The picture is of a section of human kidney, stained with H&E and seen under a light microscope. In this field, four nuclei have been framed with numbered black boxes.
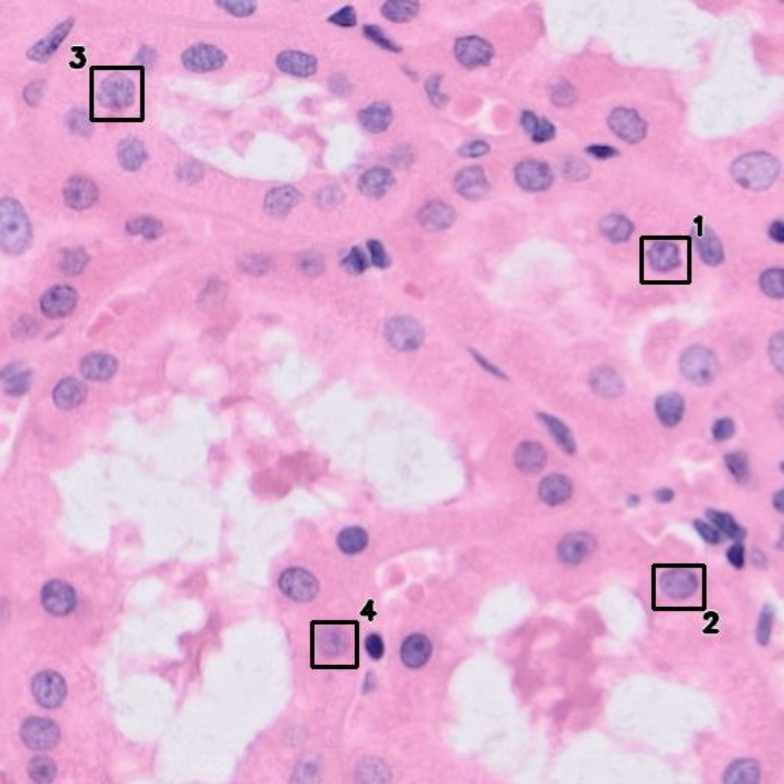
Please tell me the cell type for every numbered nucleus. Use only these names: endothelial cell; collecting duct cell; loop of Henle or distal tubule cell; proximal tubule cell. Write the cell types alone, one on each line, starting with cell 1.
proximal tubule cell
proximal tubule cell
loop of Henle or distal tubule cell
proximal tubule cell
